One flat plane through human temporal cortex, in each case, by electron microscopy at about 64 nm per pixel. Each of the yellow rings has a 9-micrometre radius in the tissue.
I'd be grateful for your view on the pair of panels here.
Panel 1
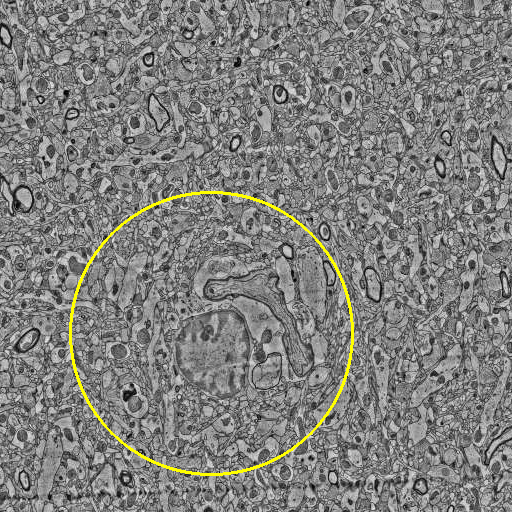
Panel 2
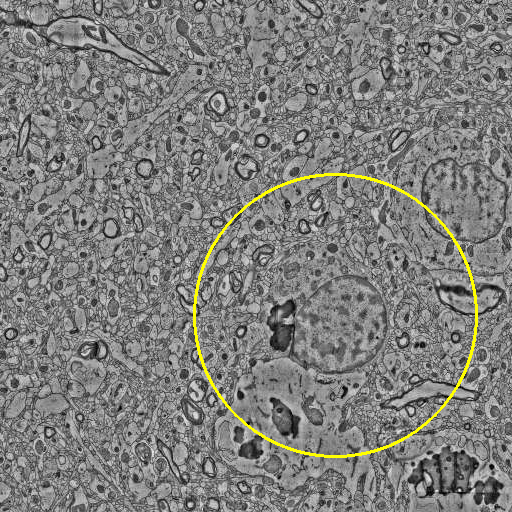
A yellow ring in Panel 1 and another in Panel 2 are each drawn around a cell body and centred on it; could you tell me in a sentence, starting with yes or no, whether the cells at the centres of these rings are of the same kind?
Yes, they are the same kind of cell.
